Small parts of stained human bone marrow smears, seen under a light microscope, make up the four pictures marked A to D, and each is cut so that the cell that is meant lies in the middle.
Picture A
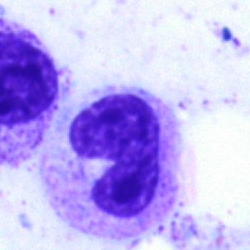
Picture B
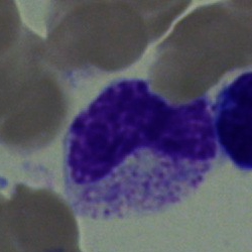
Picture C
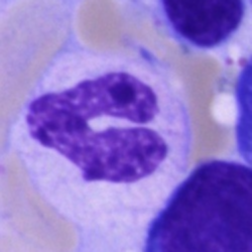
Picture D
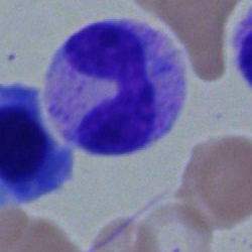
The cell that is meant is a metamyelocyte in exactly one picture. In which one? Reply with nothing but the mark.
B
